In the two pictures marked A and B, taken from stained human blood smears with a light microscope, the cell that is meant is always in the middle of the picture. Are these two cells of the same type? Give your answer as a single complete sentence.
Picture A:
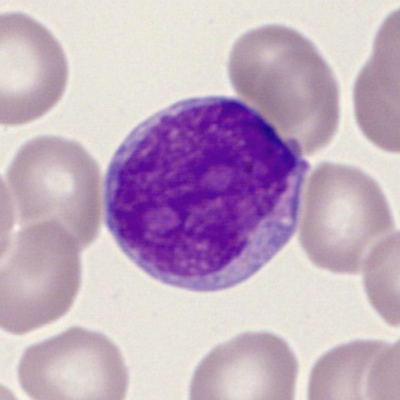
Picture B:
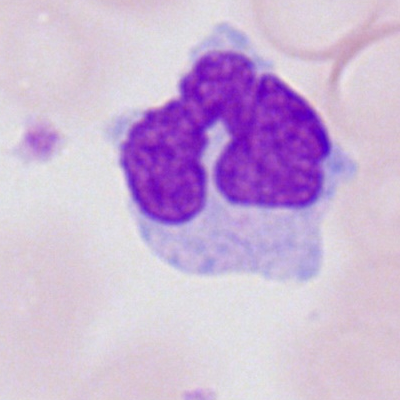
No. Picture A shows a myeloblast, but picture B shows a monocyte.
